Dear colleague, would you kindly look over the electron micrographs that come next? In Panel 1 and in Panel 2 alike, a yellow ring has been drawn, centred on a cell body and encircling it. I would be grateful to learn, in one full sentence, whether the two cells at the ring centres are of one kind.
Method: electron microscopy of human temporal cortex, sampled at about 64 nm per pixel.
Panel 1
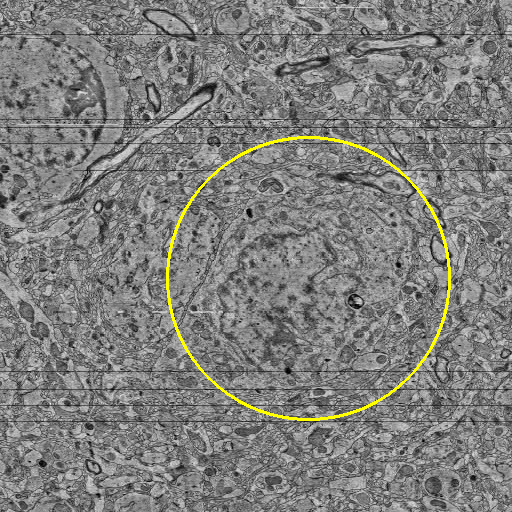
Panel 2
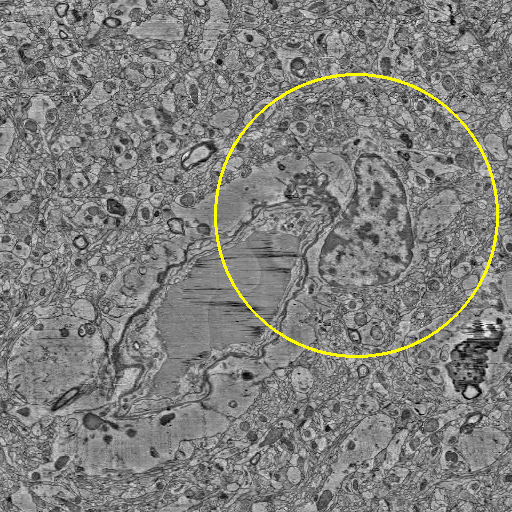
No, the cells in the middle of the rings in the two panels are of two kinds.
